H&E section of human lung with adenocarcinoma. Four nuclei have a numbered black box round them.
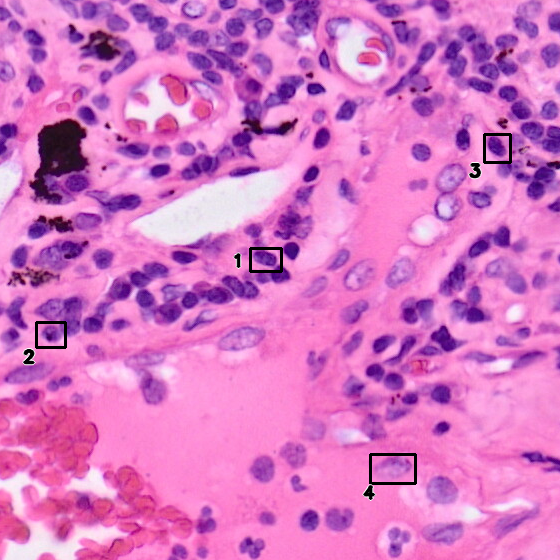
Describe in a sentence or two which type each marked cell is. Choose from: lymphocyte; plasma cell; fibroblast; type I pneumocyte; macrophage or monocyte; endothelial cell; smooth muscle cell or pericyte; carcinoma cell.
Cell 1 is a lymphocyte, cell 2 is a lymphocyte, cell 3 is a lymphocyte and cell 4 is an endothelial cell.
